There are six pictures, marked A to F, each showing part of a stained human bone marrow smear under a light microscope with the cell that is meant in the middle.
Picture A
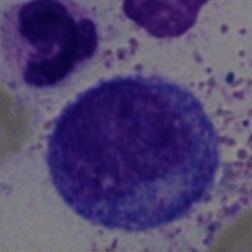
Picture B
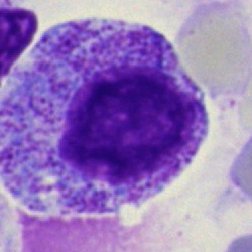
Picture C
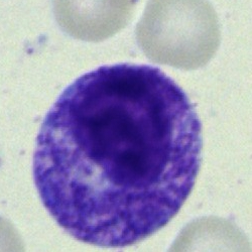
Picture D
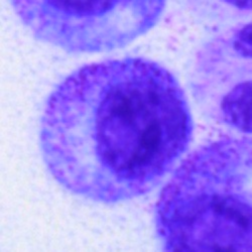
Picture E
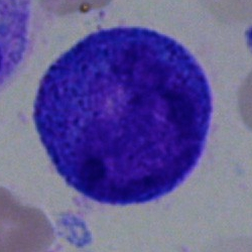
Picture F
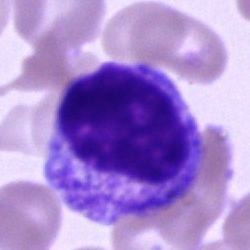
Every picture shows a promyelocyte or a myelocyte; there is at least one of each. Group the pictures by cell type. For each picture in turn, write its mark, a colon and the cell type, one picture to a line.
A: promyelocyte
B: myelocyte
C: myelocyte
D: myelocyte
E: promyelocyte
F: myelocyte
